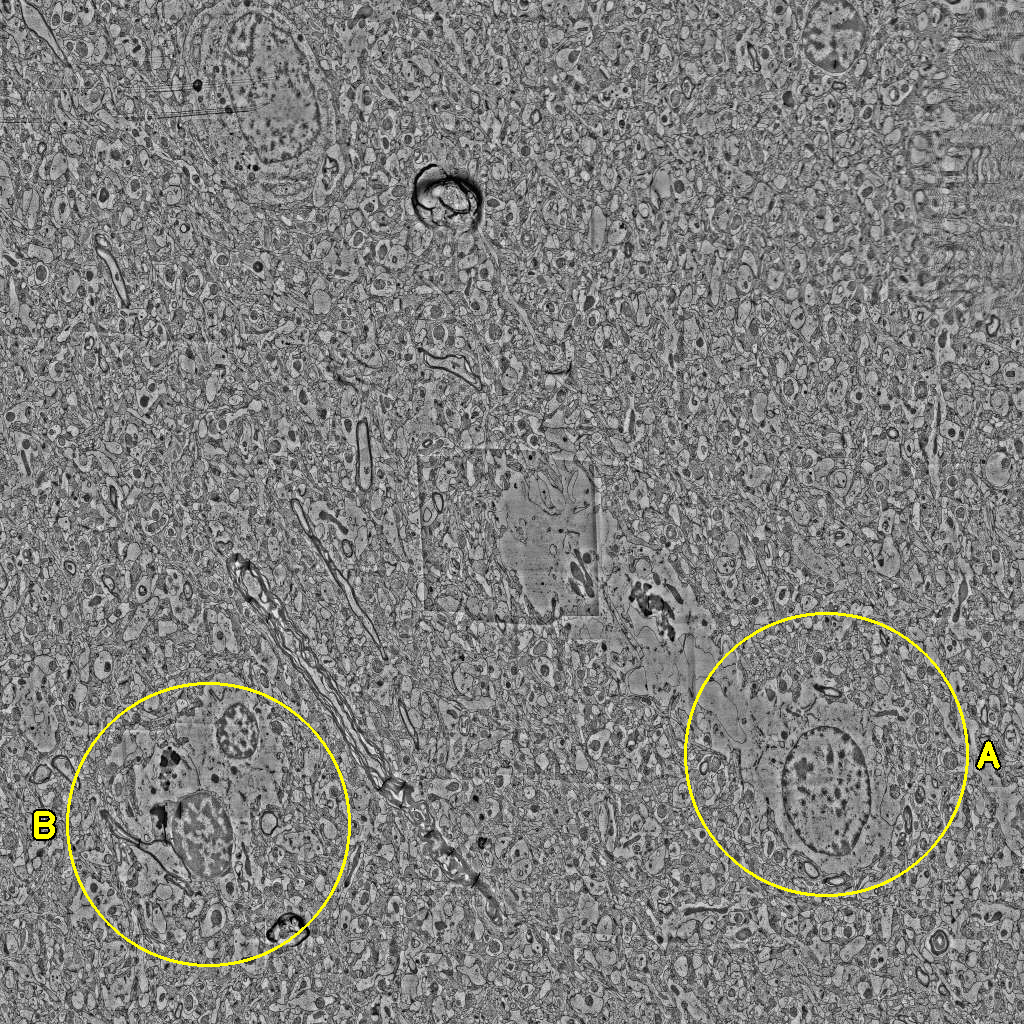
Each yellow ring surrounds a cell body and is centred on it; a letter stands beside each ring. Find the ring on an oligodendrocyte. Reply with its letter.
B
